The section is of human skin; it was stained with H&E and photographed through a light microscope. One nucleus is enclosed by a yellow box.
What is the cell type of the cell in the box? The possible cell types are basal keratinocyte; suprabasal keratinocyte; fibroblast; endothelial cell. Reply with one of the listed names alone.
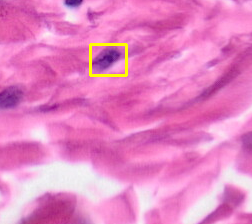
fibroblast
